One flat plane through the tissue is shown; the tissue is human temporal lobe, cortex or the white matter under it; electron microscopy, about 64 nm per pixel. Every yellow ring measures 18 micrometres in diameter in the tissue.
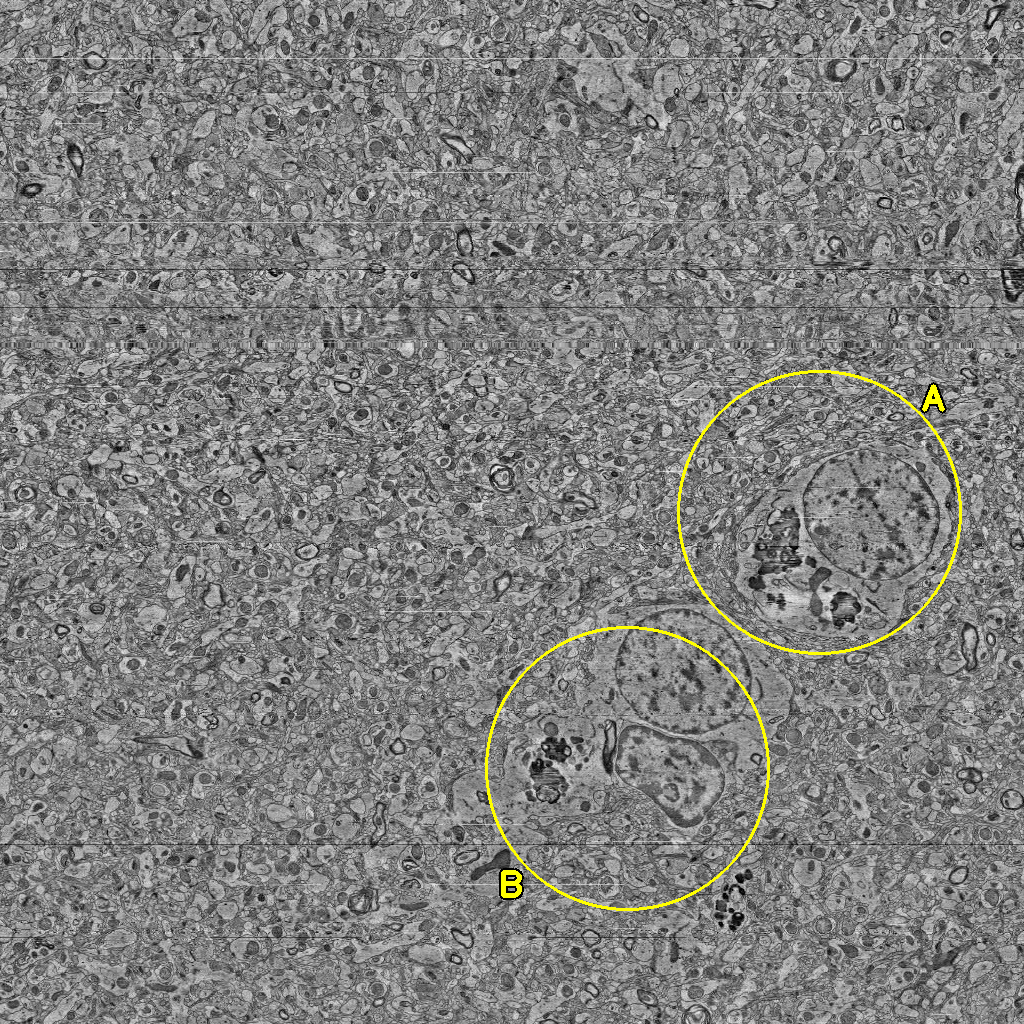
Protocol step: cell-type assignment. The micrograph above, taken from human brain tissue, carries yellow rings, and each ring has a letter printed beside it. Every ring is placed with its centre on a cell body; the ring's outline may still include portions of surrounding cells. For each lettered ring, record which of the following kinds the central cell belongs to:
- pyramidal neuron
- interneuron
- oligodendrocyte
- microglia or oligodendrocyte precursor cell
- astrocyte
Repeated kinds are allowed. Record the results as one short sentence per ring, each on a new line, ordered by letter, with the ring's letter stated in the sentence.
In ring A, the central cell is an astrocyte.
In ring B, the central cell is a microglial cell or oligodendrocyte precursor cell.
